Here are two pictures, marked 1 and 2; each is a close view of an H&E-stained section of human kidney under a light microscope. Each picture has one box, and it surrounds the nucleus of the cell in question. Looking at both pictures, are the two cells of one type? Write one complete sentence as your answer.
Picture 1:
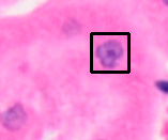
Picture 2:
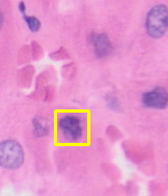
Yes; the cells in both pictures are proximal tubule cells.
